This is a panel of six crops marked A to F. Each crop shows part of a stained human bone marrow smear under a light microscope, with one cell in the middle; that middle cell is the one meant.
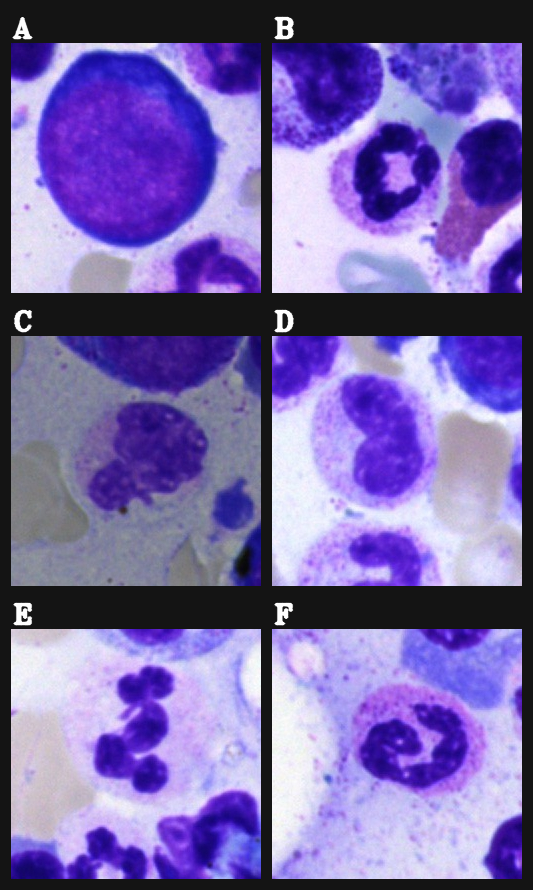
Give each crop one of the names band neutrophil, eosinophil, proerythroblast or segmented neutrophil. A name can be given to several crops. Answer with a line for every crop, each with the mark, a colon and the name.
A: proerythroblast
B: segmented neutrophil
C: segmented neutrophil
D: band neutrophil
E: segmented neutrophil
F: segmented neutrophil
